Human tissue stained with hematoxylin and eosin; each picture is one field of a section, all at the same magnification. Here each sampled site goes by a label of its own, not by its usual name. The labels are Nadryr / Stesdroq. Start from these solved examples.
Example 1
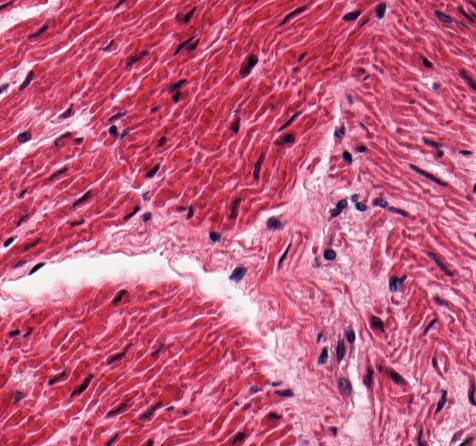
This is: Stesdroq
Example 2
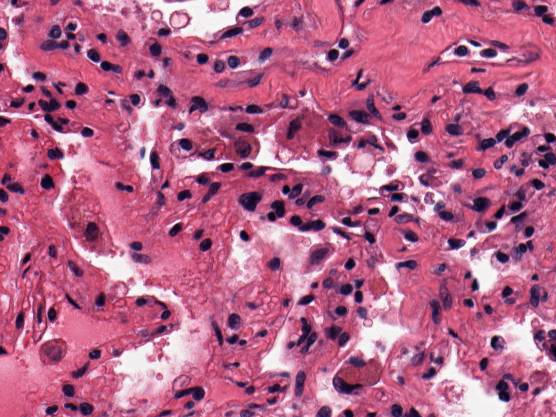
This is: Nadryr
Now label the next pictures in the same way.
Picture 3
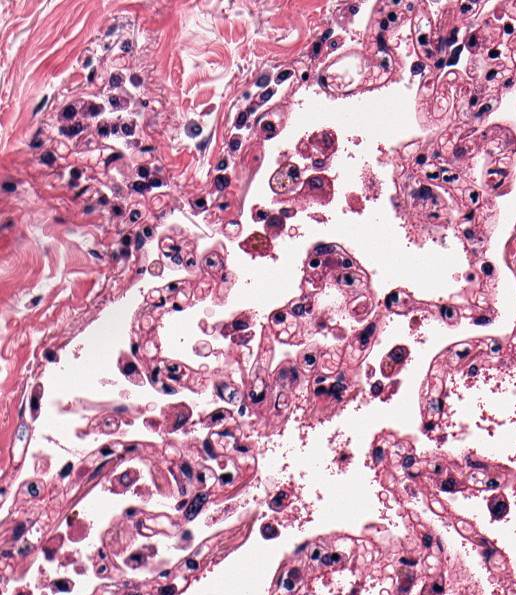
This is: Nadryr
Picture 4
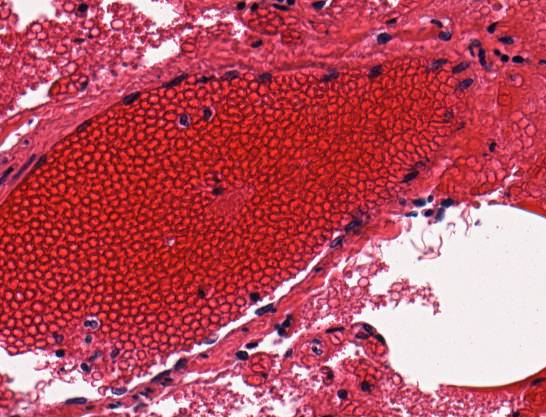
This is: Nadryr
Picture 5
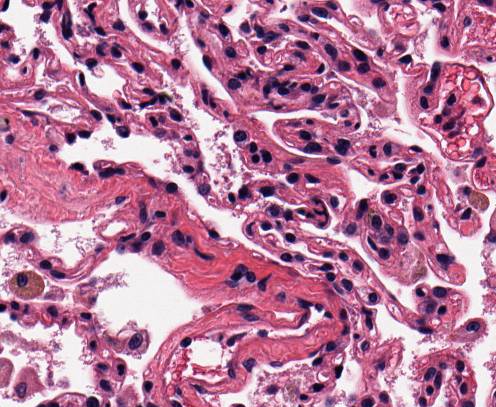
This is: Nadryr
